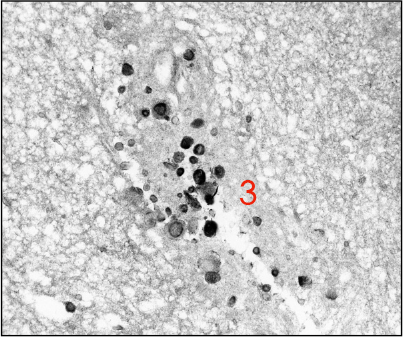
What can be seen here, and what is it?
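Brain tissue with a cluster of round, sharply bounded corpora amylacea of varying size. The bodies are stained from grey to nearly black, some with a darker rim, and are gathered along a pale, elongated track that runs obliquely through the field. The surrounding neuropil is pale and finely vacuolated.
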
